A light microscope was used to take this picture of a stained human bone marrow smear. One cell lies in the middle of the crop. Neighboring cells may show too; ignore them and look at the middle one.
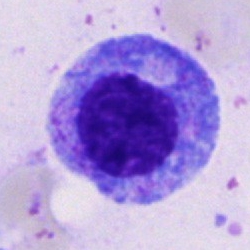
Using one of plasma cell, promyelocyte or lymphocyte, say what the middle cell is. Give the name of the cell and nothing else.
promyelocyte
